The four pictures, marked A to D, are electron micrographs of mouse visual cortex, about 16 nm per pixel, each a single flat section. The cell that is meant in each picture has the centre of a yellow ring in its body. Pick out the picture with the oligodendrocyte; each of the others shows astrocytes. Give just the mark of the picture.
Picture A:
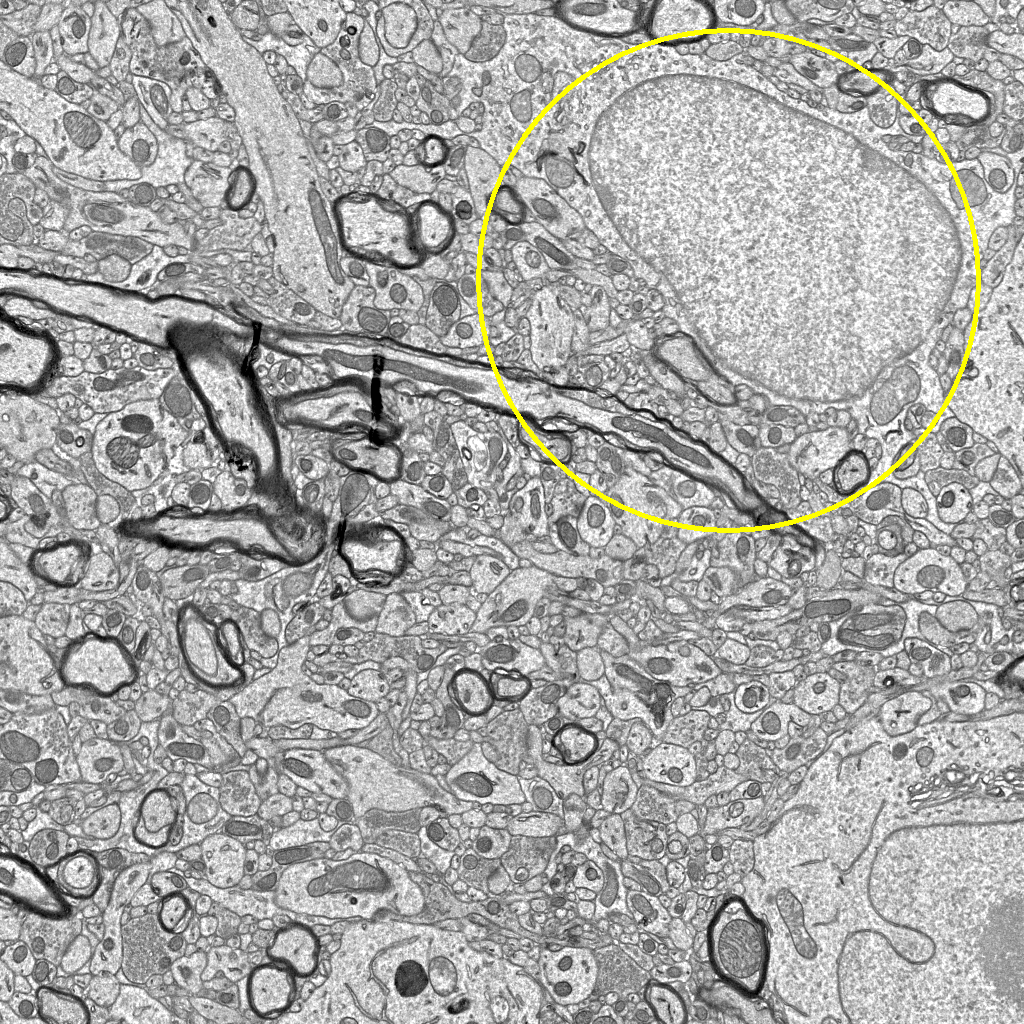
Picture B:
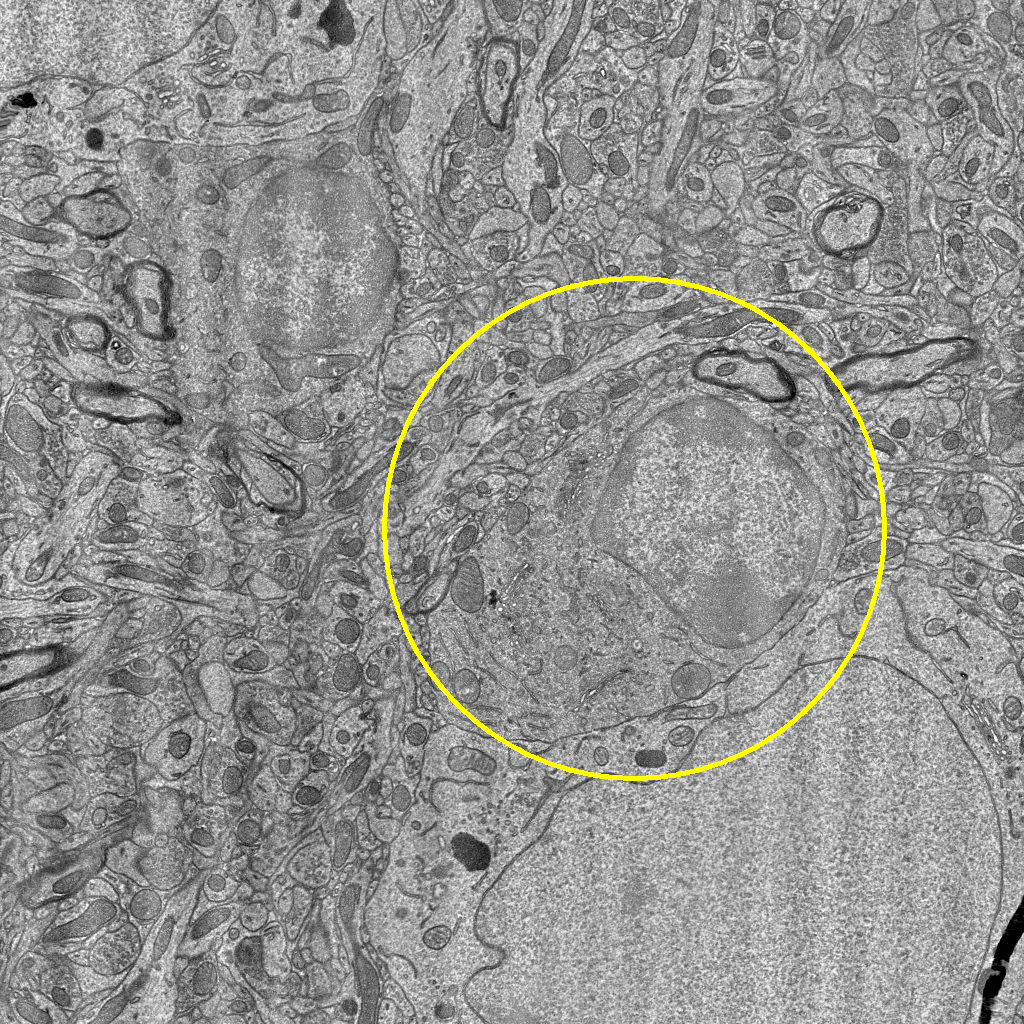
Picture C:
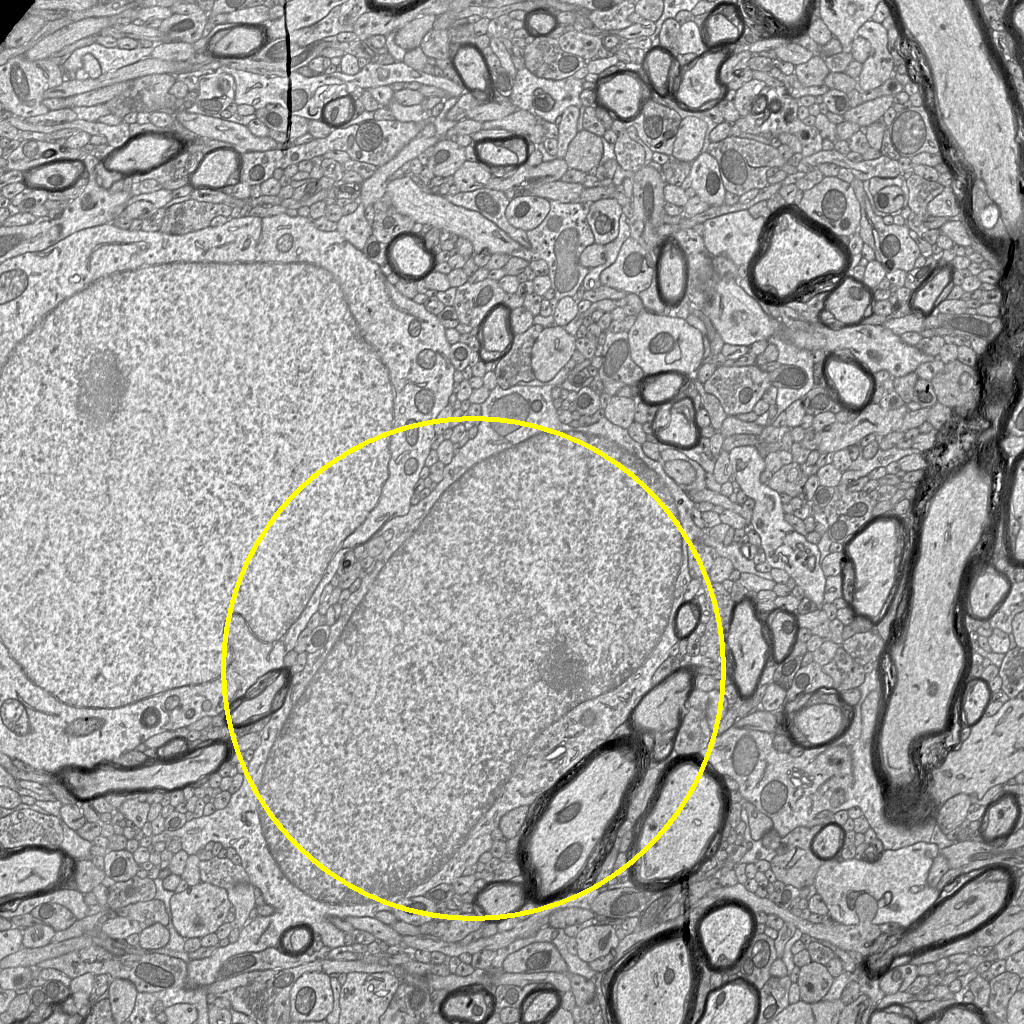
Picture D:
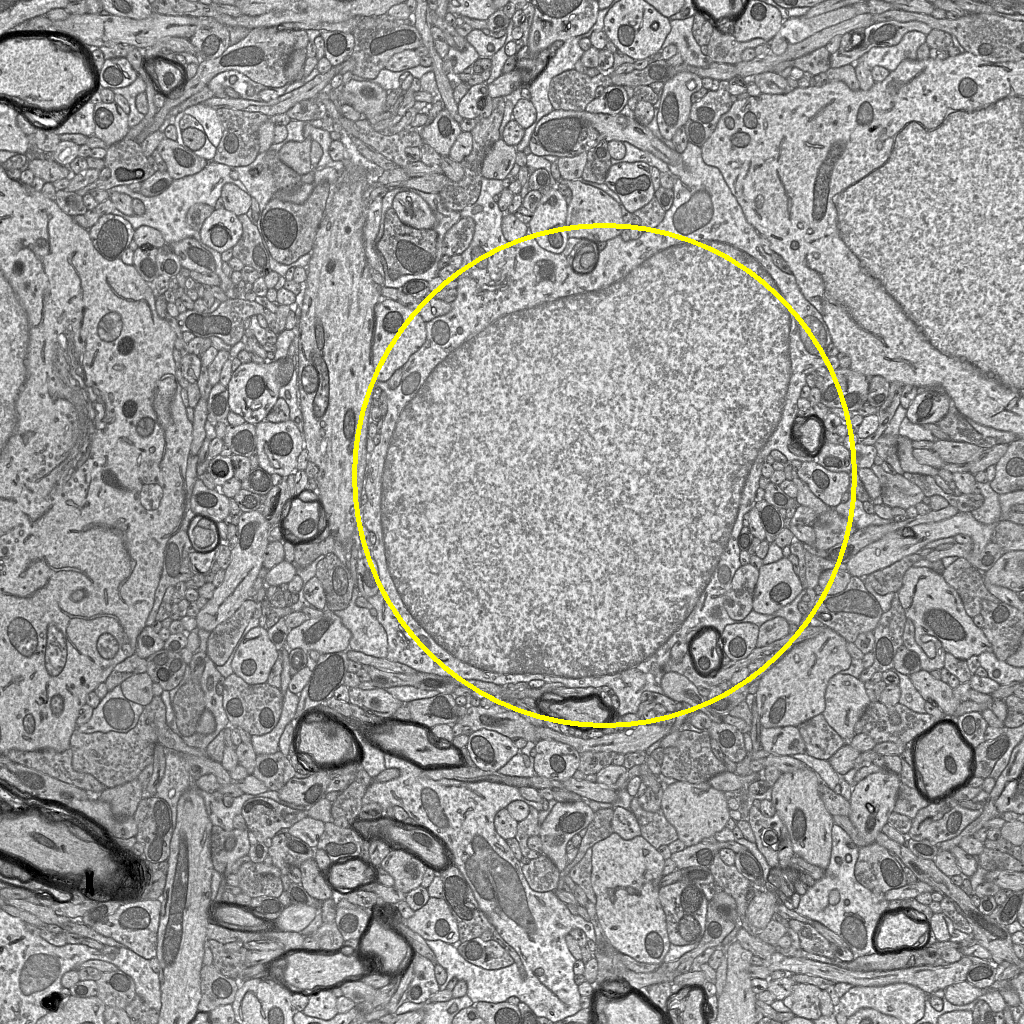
B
